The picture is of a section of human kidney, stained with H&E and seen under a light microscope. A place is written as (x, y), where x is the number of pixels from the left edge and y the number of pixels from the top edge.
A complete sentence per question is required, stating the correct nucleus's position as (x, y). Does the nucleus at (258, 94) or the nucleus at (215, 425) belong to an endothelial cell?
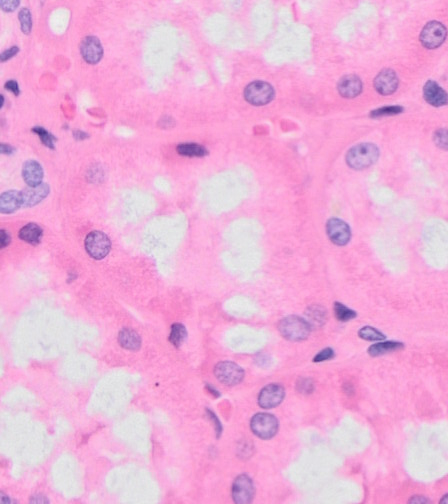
Of the two nuclei, that at (215, 425) is the nucleus of an endothelial cell.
